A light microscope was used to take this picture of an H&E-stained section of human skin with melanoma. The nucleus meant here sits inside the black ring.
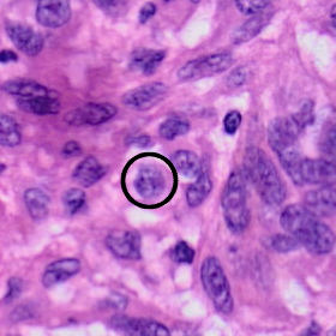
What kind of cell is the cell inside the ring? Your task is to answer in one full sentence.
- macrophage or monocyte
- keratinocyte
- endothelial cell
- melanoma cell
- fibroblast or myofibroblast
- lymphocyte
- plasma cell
It is as a melanoma cell that the cell inside the ring is recorded.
